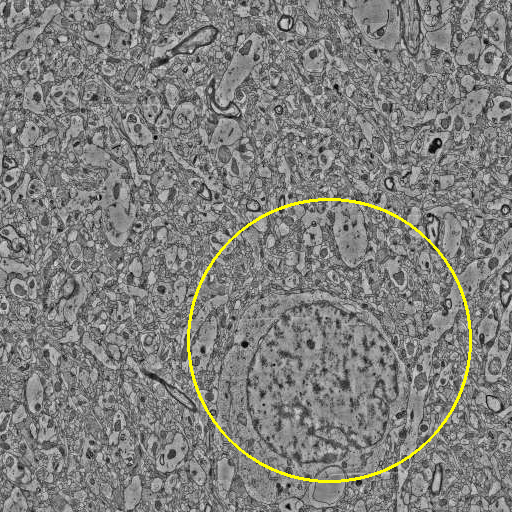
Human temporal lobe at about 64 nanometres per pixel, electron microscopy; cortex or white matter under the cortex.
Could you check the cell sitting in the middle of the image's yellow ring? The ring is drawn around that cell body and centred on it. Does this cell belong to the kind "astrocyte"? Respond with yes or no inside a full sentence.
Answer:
No, this cell in the middle of the yellow ring is one of a different kind.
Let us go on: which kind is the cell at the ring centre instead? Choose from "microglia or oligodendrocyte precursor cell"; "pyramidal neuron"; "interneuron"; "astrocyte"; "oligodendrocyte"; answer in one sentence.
At the centre of the ring sits an interneuron.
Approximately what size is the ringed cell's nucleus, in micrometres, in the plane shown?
In this plane the ringed cell's nucleus is roughly 10 micrometres across.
